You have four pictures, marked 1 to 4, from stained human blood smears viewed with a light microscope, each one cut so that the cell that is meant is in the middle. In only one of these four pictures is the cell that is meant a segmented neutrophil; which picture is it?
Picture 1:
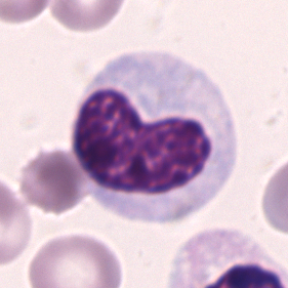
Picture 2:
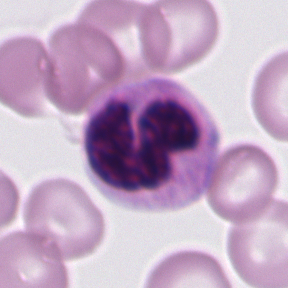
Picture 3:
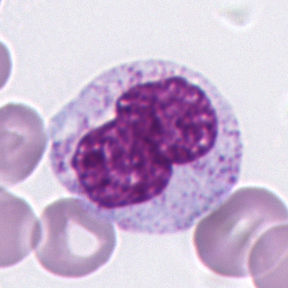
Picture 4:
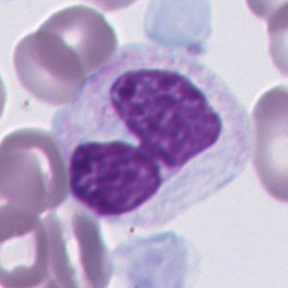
2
